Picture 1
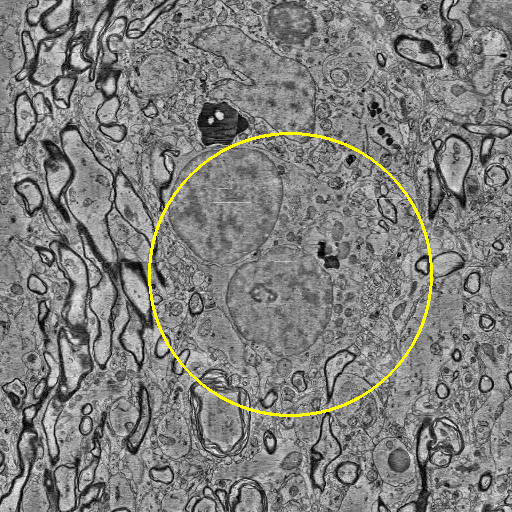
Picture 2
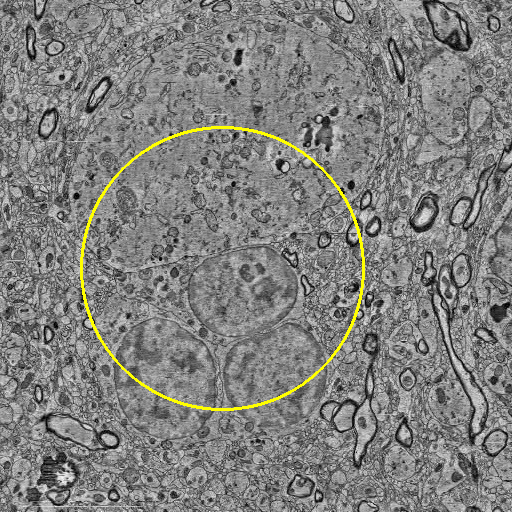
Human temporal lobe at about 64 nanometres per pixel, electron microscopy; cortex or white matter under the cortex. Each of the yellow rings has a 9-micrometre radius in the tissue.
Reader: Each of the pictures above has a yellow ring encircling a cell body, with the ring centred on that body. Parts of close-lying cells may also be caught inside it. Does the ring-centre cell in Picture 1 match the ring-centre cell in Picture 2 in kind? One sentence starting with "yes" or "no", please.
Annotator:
Yes, Picture 1 and Picture 2 show ring-centre cells of a single kind.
